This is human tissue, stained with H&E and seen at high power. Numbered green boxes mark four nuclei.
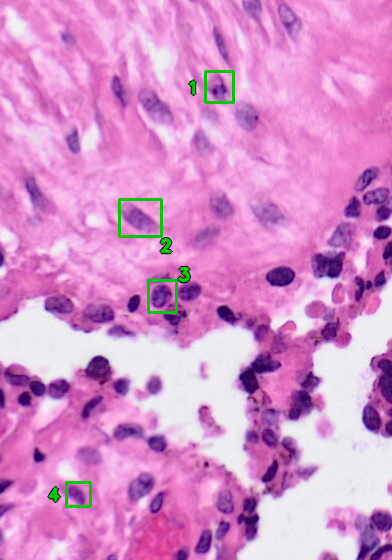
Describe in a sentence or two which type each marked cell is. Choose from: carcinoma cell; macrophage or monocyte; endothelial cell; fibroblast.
Cells 1, 2 and 4 are fibroblasts. Cell 3 is a macrophage or monocyte.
